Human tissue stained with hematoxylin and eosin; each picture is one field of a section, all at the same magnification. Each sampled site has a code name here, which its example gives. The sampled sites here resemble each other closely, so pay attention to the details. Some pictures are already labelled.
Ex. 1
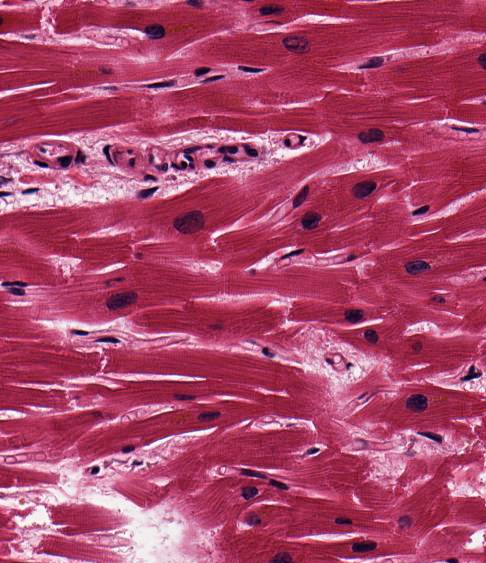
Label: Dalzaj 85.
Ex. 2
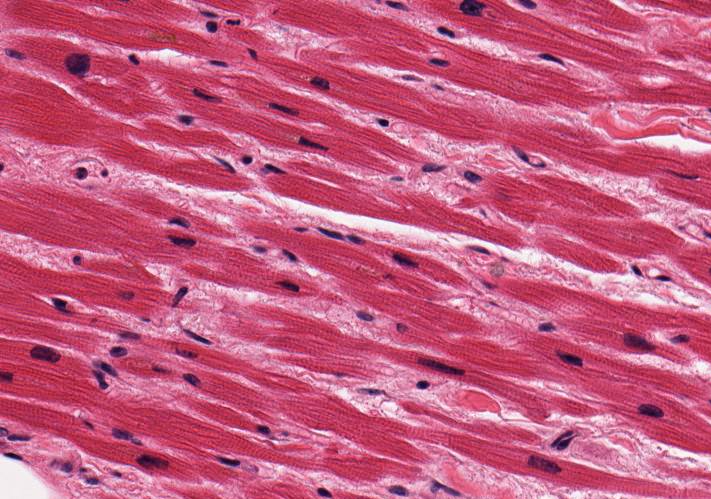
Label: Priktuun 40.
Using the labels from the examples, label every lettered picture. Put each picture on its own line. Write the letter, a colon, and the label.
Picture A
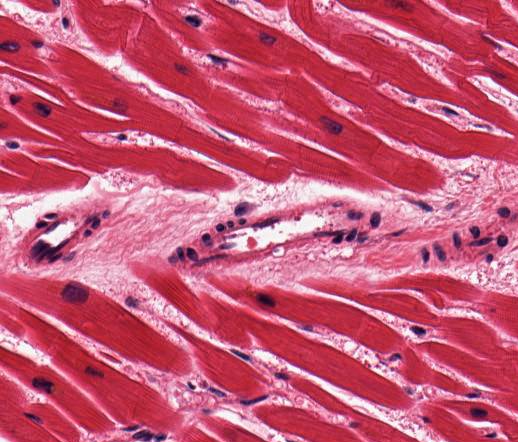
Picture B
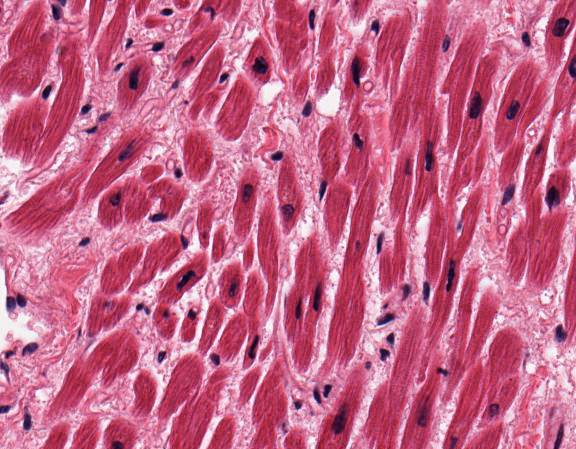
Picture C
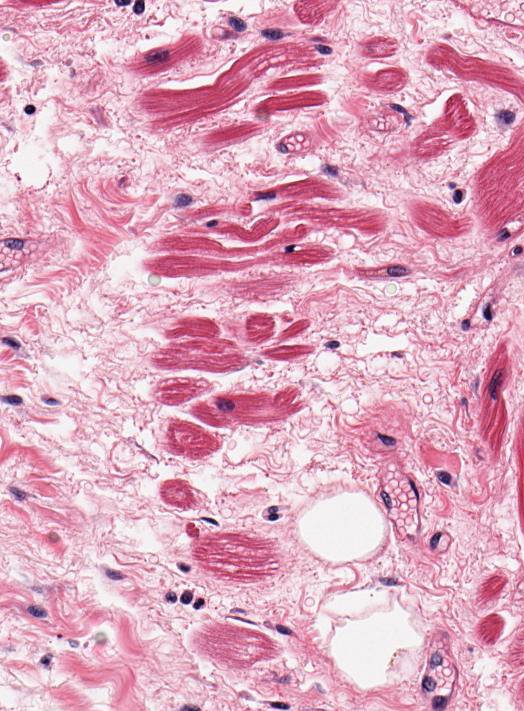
A: Dalzaj 85.
B: Priktuun 40.
C: Priktuun 40.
